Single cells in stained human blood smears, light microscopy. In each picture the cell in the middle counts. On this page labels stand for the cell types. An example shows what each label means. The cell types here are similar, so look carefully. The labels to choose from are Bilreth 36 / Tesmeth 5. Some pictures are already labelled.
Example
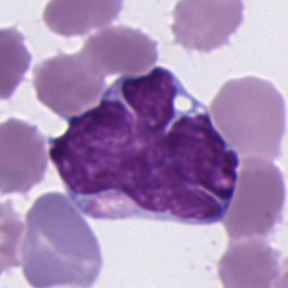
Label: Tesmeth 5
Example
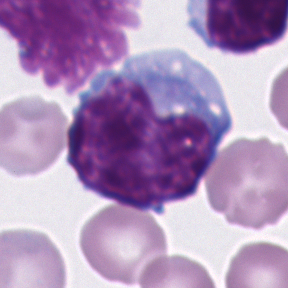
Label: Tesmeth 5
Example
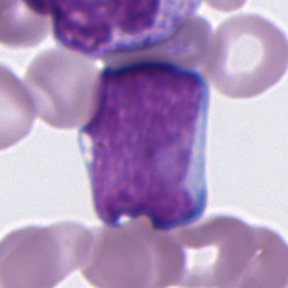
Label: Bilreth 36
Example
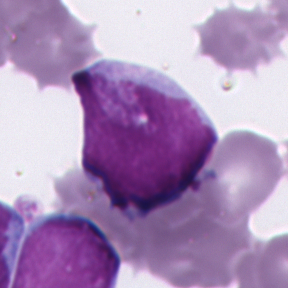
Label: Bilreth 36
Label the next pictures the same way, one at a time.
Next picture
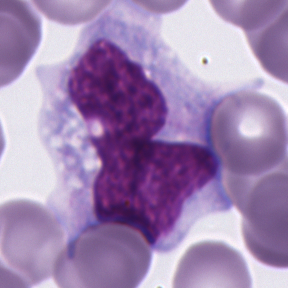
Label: Tesmeth 5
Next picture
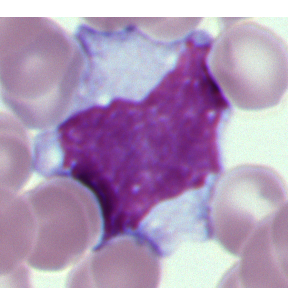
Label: Tesmeth 5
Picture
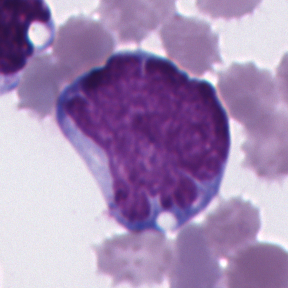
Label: Bilreth 36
